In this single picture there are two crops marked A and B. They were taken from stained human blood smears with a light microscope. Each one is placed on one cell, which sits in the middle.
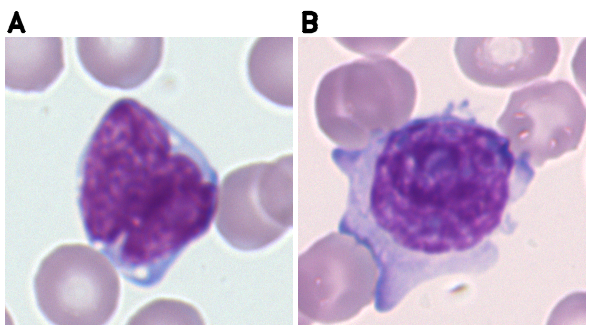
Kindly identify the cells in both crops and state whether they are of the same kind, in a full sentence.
Yes, the cells of interest in both crops are myeloblasts.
